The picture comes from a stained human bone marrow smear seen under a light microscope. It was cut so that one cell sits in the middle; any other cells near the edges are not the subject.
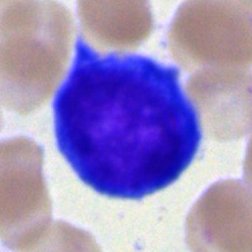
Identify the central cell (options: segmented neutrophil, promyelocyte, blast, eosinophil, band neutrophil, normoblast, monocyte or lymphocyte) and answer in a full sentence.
Centred in the crop is a blast.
